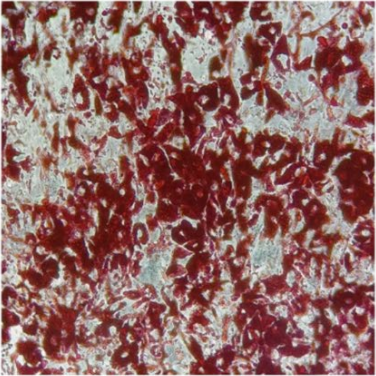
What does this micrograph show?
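Many cells are filled with intense red stain, which outlines their rounded to polygonal shapes. The red cells lie in large, irregular clusters that cover much of the field. Between the clusters are pale grey areas of unstained cells and background. Individual droplets are hard to separate at this magnification, so the red fills whole cell bodies.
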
